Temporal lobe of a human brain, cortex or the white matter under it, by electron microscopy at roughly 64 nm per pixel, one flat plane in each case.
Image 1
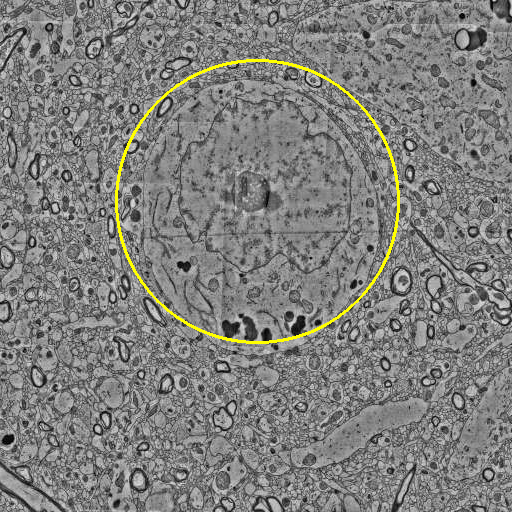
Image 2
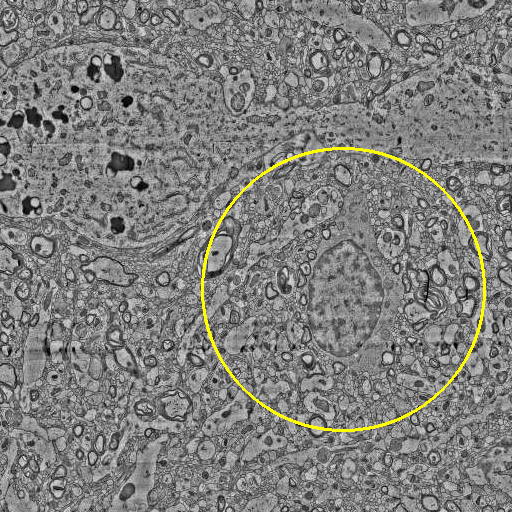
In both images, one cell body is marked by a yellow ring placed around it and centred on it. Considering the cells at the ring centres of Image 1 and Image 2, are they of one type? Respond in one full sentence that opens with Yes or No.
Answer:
No, two types apply to the ring-centred cells of Image 1 and Image 2.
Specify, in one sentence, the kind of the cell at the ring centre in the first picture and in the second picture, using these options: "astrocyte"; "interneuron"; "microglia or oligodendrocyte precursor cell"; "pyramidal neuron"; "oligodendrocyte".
So the first is a pyramidal neuron, the second an oligodendrocyte.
